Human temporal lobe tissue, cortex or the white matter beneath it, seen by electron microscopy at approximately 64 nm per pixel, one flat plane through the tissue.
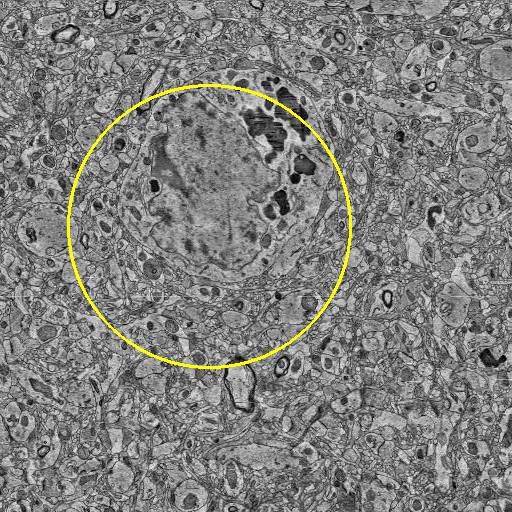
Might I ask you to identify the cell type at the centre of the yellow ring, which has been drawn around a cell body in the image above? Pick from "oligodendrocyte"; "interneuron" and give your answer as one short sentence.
The centre of the ring falls on an interneuron.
